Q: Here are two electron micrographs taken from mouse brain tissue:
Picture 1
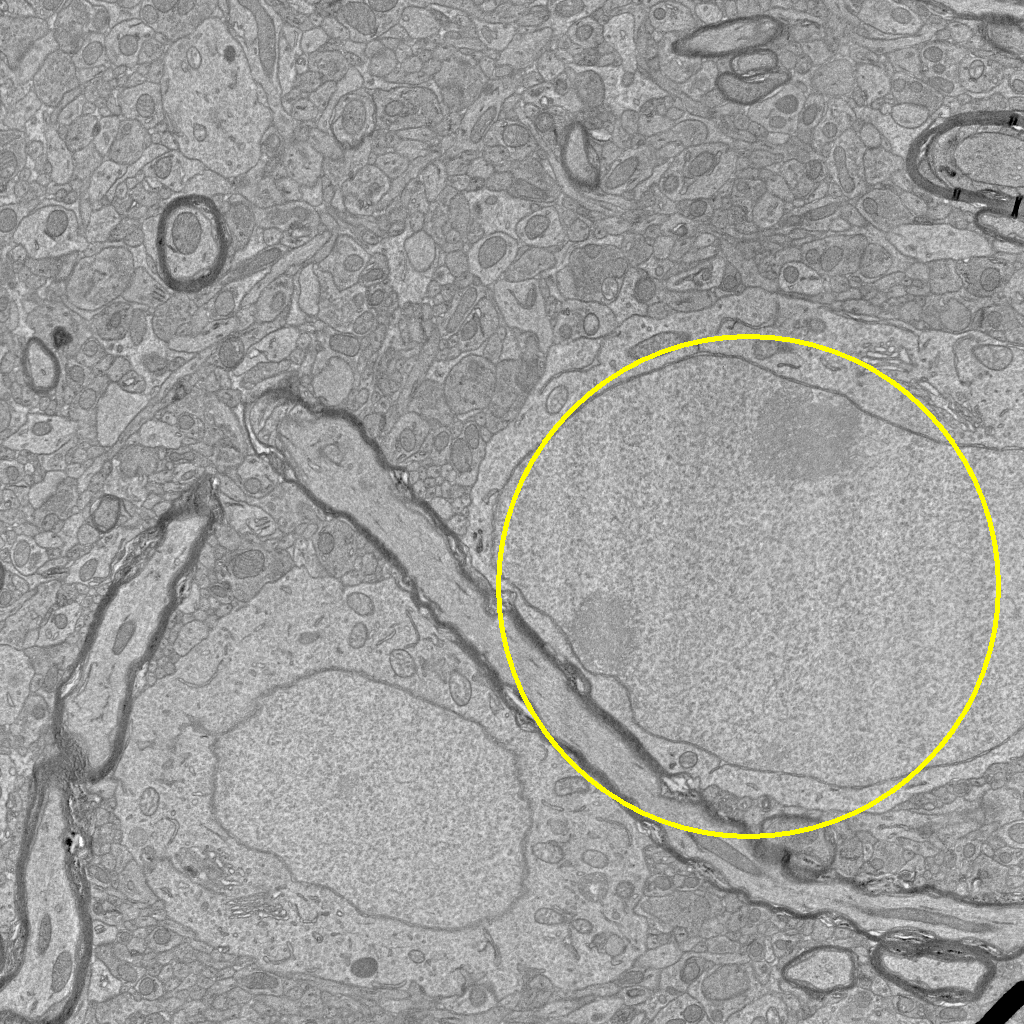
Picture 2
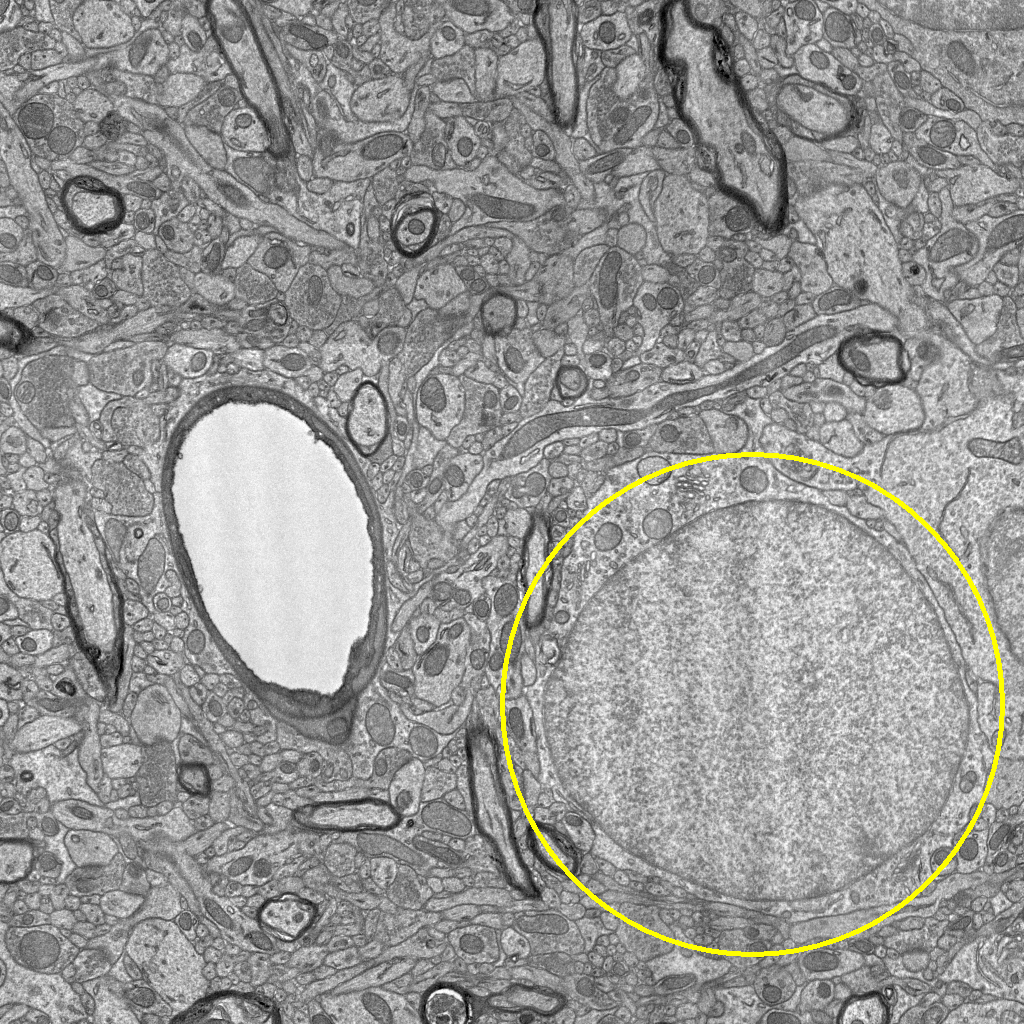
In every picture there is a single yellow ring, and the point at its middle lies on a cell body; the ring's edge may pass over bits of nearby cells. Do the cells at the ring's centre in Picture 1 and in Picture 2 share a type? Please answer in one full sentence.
No, the cells at the ring's centre in Picture 1 and Picture 2 are of two types.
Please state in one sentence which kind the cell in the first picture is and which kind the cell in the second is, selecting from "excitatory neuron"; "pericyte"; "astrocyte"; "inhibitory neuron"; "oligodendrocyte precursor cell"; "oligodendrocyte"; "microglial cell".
The first picture has an excitatory neuron in its ring, the second has an astrocyte.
